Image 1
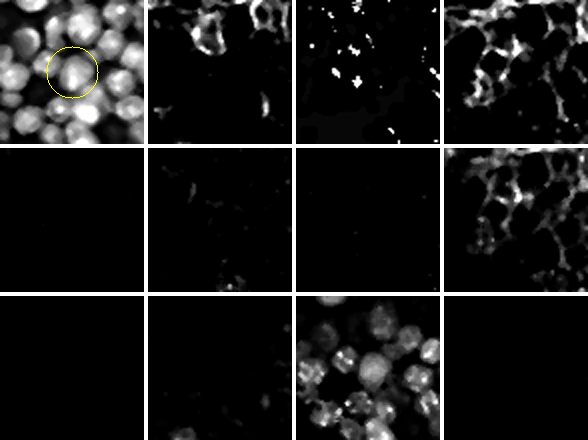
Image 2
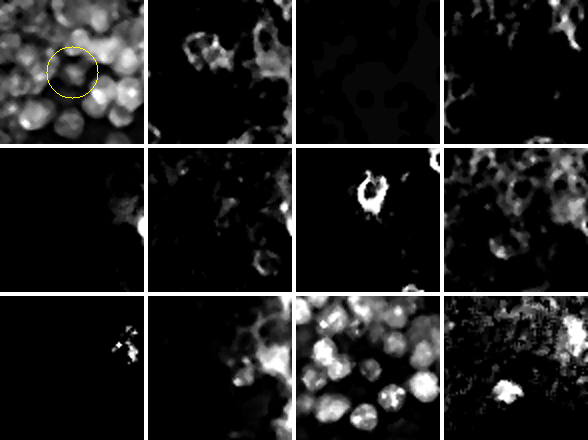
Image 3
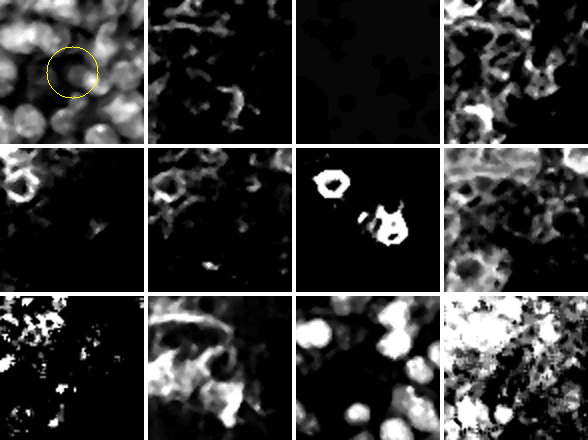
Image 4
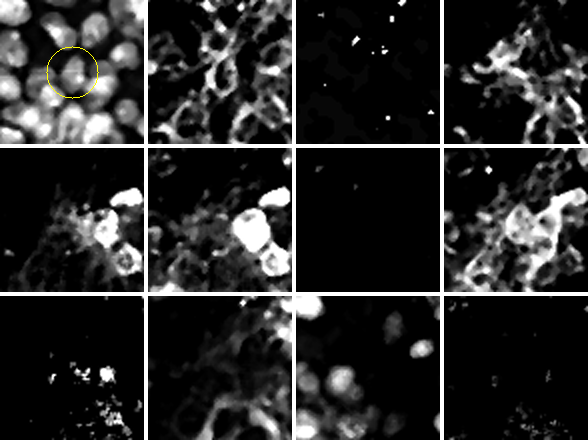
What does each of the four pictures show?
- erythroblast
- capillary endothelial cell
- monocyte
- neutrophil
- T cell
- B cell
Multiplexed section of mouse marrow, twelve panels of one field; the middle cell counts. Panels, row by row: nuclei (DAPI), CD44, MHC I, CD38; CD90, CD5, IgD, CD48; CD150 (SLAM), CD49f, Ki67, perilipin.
Picture 1: erythroblast
Picture 2: B cell
Picture 3: capillary endothelial cell
Picture 4: monocyte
